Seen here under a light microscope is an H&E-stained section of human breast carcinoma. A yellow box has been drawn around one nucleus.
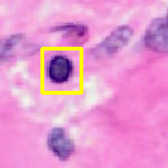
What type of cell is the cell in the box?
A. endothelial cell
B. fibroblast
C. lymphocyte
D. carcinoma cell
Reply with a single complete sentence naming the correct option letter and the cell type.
Option C is right in classifying the cell in the box as a lymphocyte.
